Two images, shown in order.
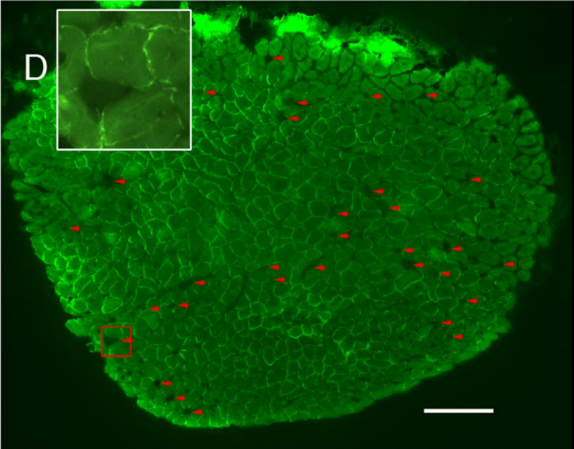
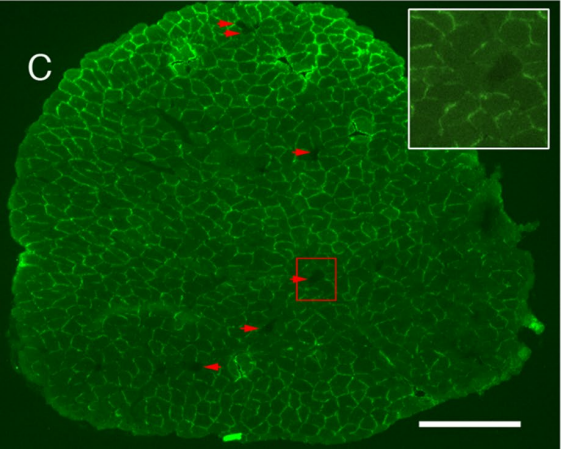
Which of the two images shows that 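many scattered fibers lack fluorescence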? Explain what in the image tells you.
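First image: numerous dark, unlabelled fibers are scattered across the section. Second image: only a few dark fibers are found among evenly fluorescent fibers. That points to this answer: the first image.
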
